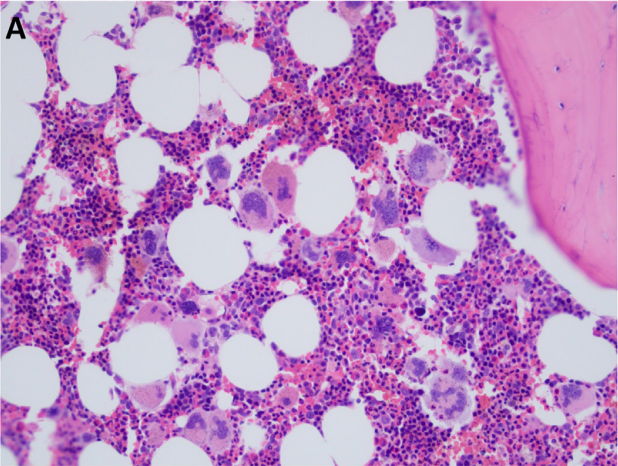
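This is bone marrow in which many giant megakaryocytes stand out among the smaller blood-forming cells. They have broad pink cytoplasm and large, dark purple nuclei folded into several lobes. They are spread through the whole field, and here and there a few lie near one another in loose groups. Between them lie densely packed small cells with dark round nuclei, red cells, and many round clear spaces where fat cells were. At the upper right edge a smooth pink band of bone borders the marrow.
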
